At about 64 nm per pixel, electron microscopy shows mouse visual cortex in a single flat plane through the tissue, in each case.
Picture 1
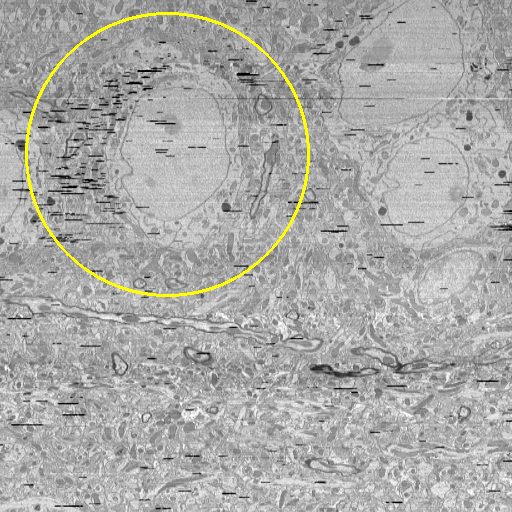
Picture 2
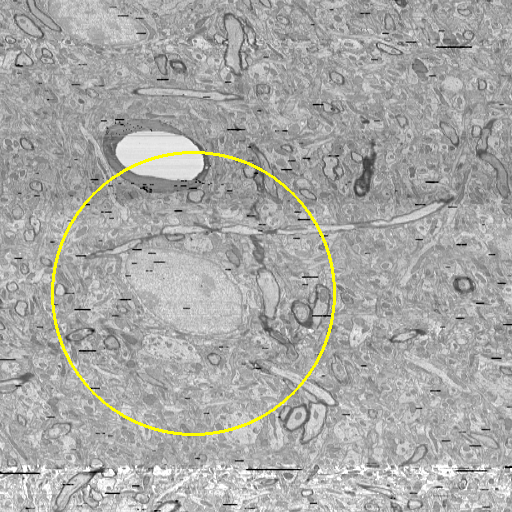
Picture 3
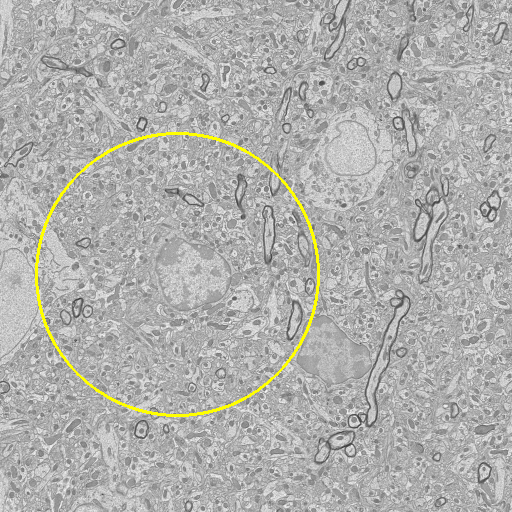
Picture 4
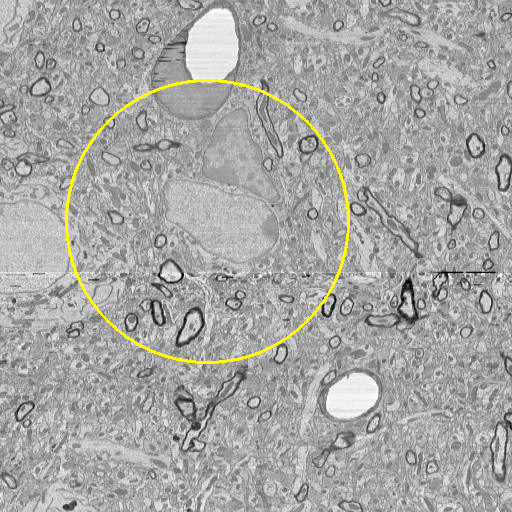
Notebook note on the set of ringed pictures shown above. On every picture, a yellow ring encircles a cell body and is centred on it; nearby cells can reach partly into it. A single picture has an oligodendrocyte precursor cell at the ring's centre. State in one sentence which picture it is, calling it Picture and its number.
Picture 4 is the one whose ring is centred on the sought cell.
